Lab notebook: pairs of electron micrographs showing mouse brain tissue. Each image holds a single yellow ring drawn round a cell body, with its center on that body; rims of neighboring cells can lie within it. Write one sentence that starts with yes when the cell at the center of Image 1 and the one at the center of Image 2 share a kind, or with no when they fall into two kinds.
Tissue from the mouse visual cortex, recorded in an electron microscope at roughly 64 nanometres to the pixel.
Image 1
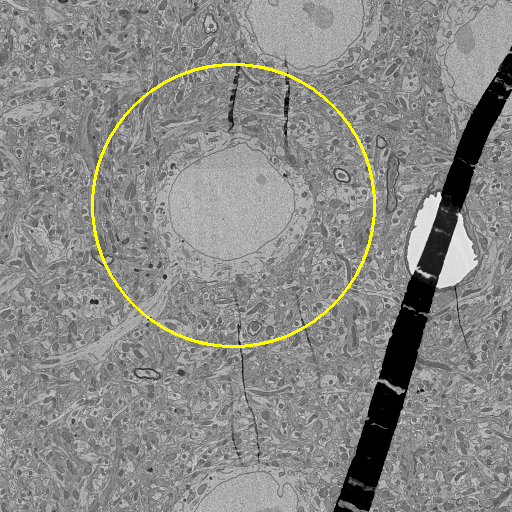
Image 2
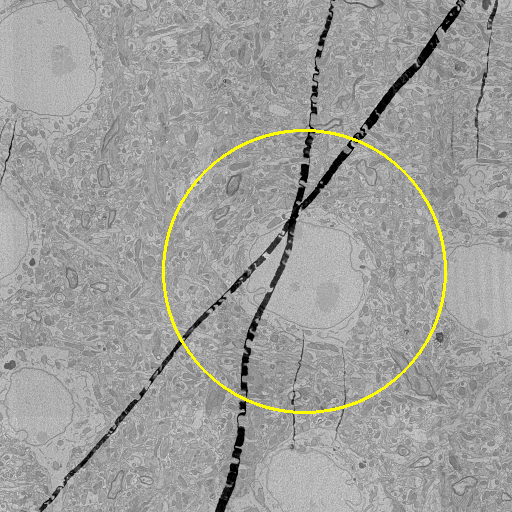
Yes, the centered cell in Image 1 and the centered cell in Image 2 are of one kind.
